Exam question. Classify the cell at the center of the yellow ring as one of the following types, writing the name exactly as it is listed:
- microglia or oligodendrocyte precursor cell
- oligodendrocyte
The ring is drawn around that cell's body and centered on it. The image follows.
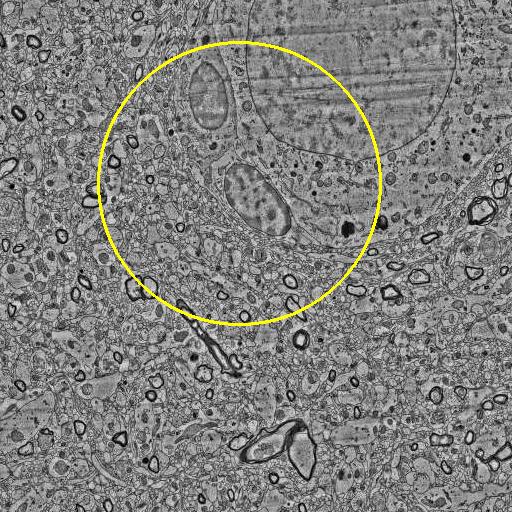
microglia or oligodendrocyte precursor cell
